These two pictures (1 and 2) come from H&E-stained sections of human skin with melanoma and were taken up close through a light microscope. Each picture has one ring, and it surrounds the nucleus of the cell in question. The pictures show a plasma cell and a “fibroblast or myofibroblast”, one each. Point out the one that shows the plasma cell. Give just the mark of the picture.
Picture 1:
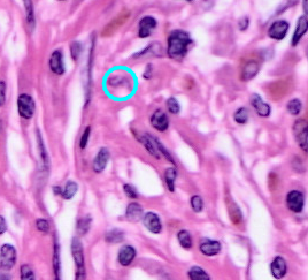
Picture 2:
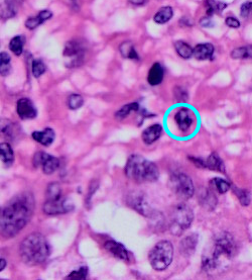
2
